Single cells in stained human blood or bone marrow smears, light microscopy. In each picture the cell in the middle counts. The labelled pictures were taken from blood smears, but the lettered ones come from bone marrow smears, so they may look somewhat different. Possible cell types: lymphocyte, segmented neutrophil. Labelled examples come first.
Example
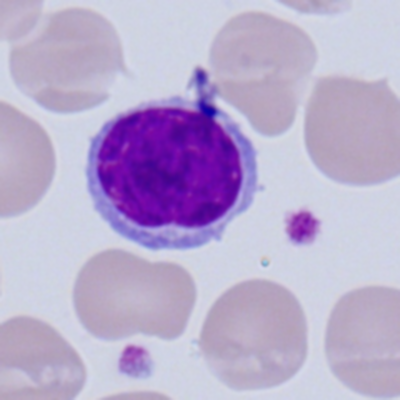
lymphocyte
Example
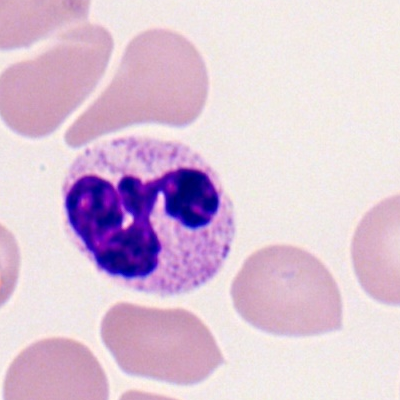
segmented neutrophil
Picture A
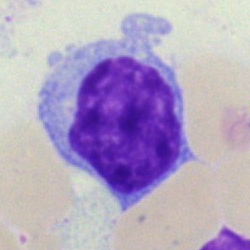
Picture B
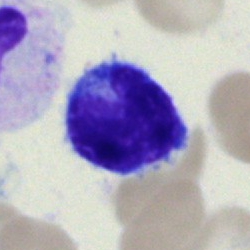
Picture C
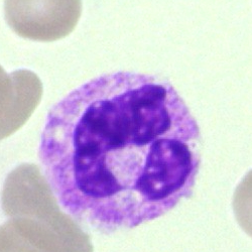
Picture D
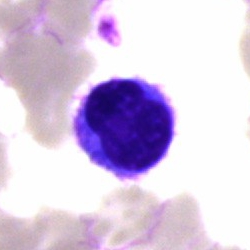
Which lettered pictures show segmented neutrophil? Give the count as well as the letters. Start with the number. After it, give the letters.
1: C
